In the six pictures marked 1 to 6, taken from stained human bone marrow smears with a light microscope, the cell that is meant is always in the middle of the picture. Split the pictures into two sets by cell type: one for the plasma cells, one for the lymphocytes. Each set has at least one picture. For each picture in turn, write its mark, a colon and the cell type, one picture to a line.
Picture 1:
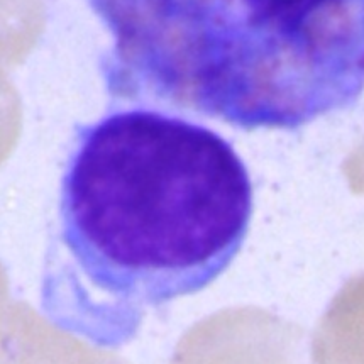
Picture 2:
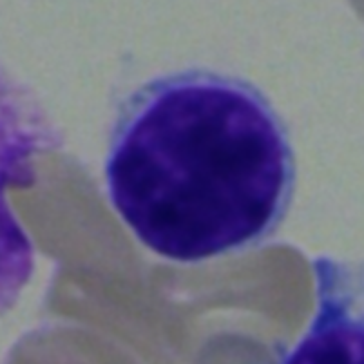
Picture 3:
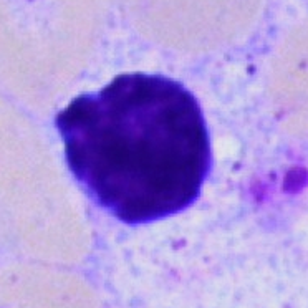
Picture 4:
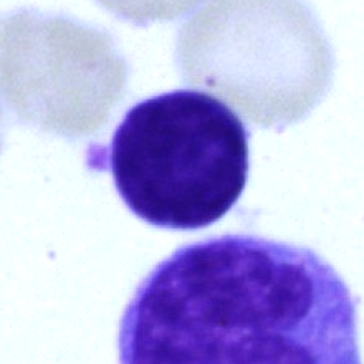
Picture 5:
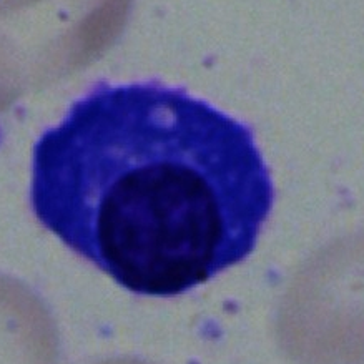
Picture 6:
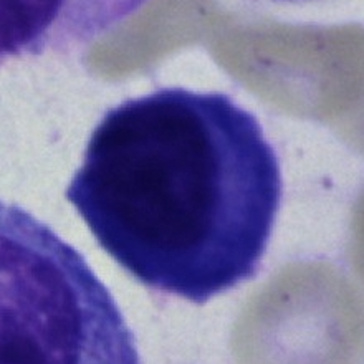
1: lymphocyte
2: lymphocyte
3: lymphocyte
4: lymphocyte
5: plasma cell
6: plasma cell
